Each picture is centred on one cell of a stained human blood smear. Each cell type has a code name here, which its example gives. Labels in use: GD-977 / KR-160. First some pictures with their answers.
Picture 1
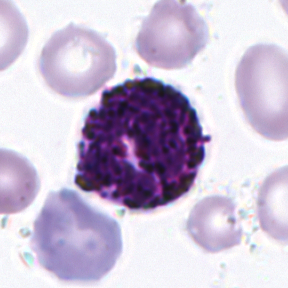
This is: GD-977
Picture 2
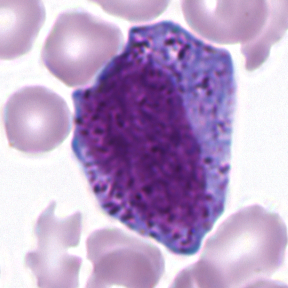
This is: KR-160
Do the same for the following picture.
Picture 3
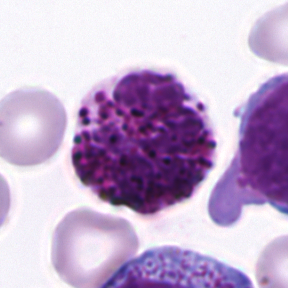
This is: GD-977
